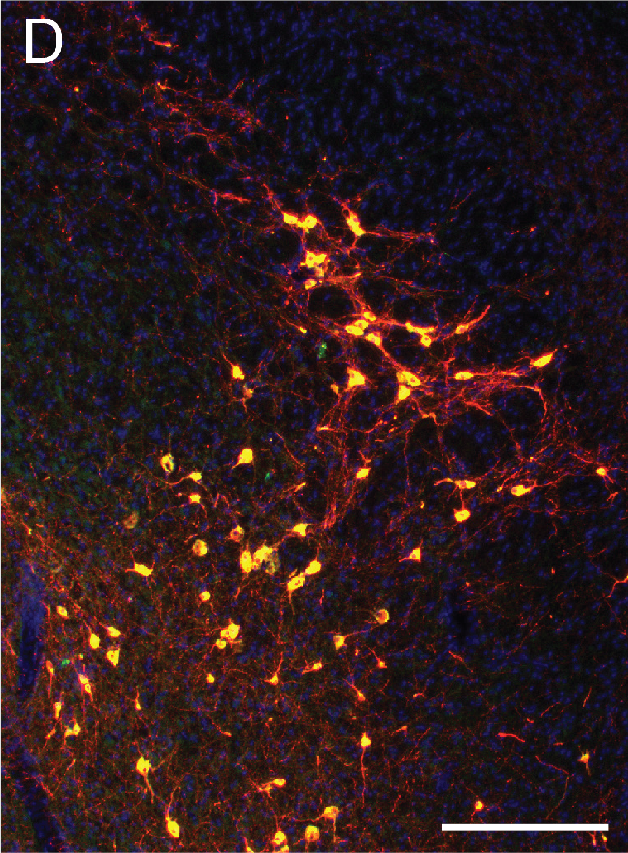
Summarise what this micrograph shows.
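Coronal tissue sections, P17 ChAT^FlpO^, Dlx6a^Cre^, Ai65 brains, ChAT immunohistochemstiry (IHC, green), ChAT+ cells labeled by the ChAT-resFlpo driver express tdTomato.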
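A cluster of large neurons with bright yellow-orange cell bodies stands out against a dark background dotted with small blue nuclei. Many of the cells are multipolar, sending several long, branching red dendrites that interweave into a dense meshwork, especially around a tight group of cell bodies in the upper middle.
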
